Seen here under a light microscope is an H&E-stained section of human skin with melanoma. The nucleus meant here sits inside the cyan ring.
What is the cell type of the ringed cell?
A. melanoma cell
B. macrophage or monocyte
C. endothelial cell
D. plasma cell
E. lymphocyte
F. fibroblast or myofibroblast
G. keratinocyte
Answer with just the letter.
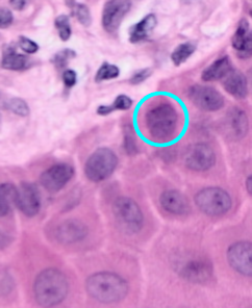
G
